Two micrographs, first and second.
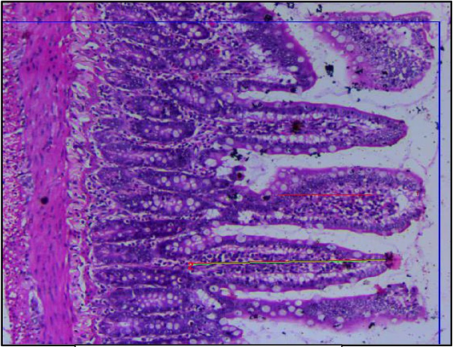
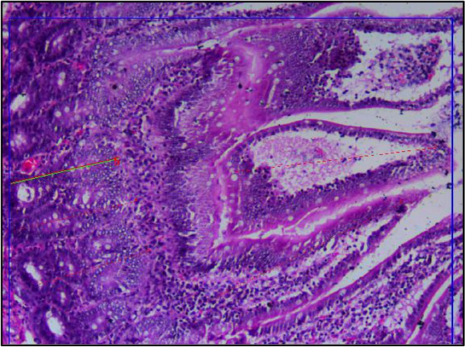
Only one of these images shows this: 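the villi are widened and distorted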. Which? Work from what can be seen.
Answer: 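Second image: a villus is broad, irregular and pale in its core. First image: villi are slender, parallel and regular in outline.
Answer: the second image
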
